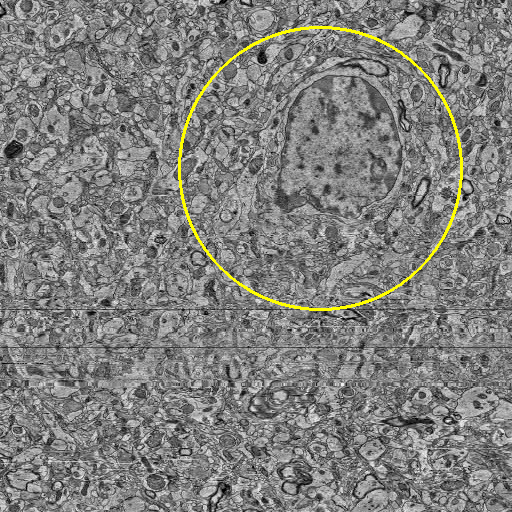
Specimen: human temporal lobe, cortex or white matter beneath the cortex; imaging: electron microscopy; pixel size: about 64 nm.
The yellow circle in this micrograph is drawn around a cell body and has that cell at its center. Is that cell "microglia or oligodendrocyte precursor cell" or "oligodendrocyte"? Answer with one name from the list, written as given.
microglia or oligodendrocyte precursor cell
